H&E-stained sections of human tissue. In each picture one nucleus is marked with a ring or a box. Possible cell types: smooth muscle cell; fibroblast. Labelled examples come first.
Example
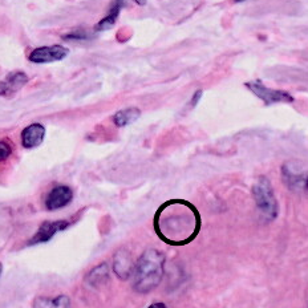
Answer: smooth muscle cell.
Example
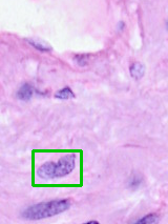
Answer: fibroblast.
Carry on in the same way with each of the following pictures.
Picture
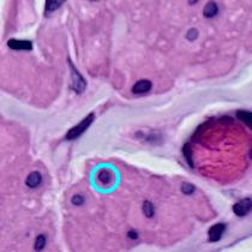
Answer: smooth muscle cell.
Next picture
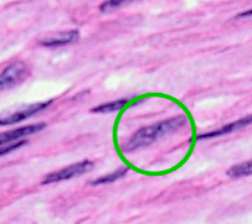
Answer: fibroblast.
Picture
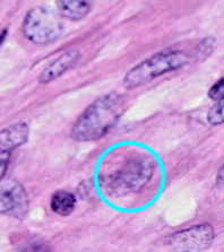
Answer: fibroblast.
